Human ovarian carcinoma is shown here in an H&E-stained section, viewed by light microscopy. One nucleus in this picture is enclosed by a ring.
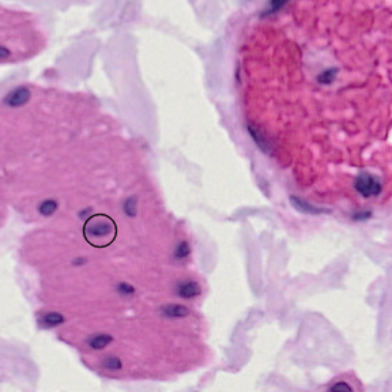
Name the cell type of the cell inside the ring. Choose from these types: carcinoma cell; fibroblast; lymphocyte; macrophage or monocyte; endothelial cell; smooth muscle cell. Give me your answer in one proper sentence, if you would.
By its classification, the cell inside the ring is a smooth muscle cell.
